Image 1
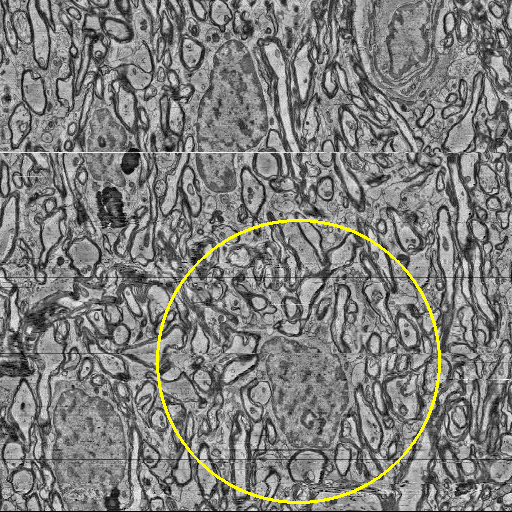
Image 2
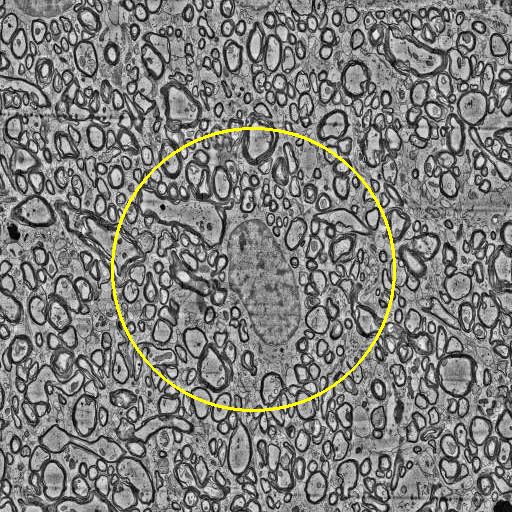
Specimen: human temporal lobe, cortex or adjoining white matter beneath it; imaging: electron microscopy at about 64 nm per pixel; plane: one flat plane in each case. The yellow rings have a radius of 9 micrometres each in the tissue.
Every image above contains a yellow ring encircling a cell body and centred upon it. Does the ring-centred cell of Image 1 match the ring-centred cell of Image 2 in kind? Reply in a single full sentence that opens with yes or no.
Yes, the cell at the ring's centre in Image 1 is the same kind as that in Image 2.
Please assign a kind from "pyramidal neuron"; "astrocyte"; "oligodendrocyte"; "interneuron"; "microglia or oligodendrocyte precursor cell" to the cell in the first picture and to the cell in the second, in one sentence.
In each picture the ringed cell is an oligodendrocyte.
